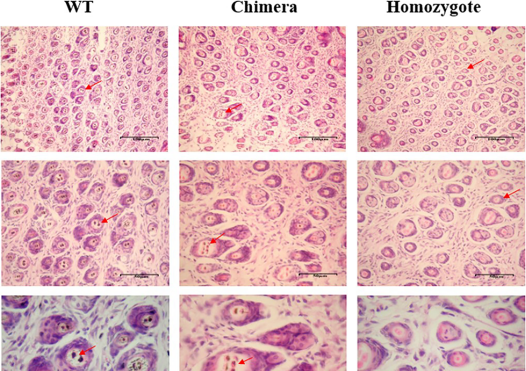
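The clusters are rings of cells with purple nuclei around a pale pink center. In the left and middle columns, some clusters hold small dark brown-black granules of melanin at the red arrows. In the right column, the arrowed clusters show no such dark granules.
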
